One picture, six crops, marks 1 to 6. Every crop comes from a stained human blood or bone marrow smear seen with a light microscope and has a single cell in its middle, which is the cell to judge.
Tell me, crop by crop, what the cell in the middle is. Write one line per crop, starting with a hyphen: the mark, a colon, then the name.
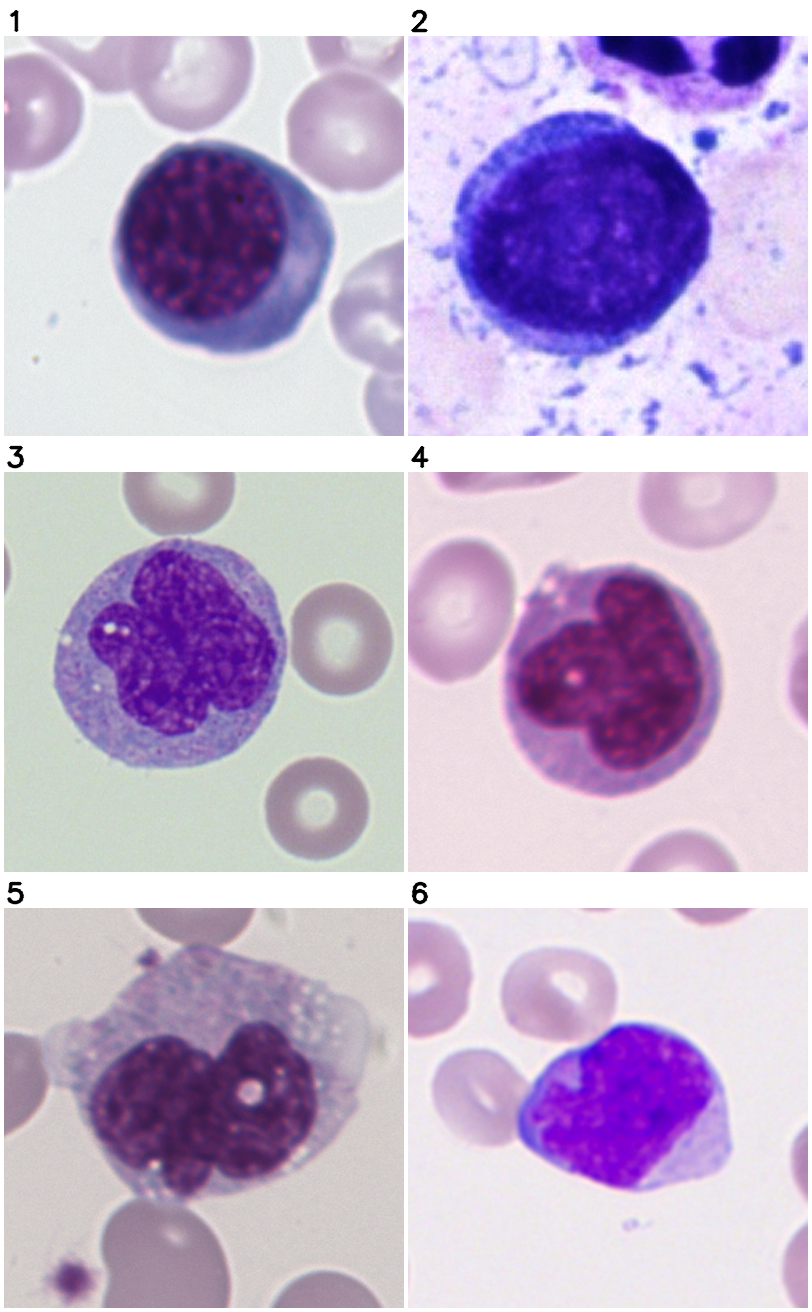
- 1: normoblast
- 2: blast
- 3: monocyte
- 4: monocyte
- 5: monocyte
- 6: blast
